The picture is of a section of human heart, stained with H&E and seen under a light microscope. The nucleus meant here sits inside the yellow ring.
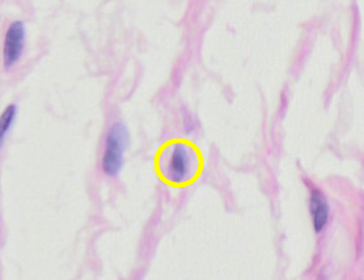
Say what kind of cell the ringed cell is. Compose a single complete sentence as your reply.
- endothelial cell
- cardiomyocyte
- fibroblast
It is a fibroblast that the ringed cell represents.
